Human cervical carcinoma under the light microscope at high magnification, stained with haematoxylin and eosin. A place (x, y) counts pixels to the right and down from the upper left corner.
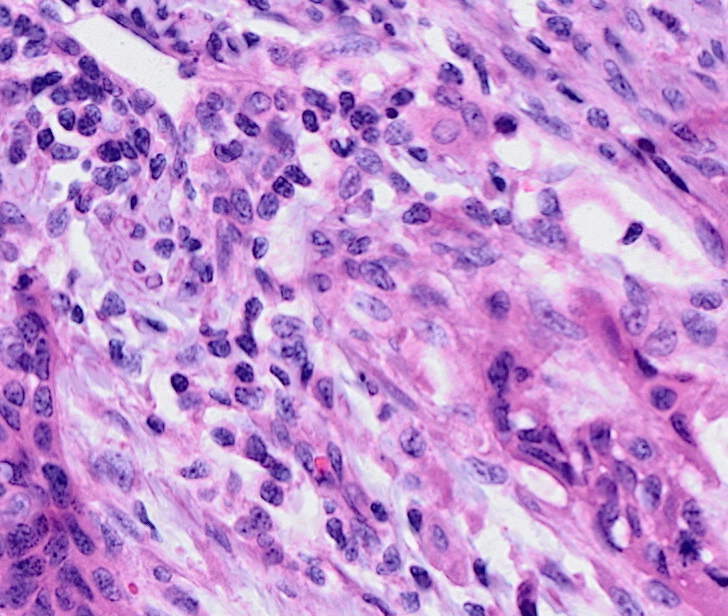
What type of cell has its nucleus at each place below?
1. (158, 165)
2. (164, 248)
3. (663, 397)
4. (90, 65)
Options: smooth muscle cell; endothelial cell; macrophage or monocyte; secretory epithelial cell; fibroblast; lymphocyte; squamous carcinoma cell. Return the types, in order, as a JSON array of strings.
["lymphocyte", "lymphocyte", "squamous carcinoma cell", "lymphocyte"]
